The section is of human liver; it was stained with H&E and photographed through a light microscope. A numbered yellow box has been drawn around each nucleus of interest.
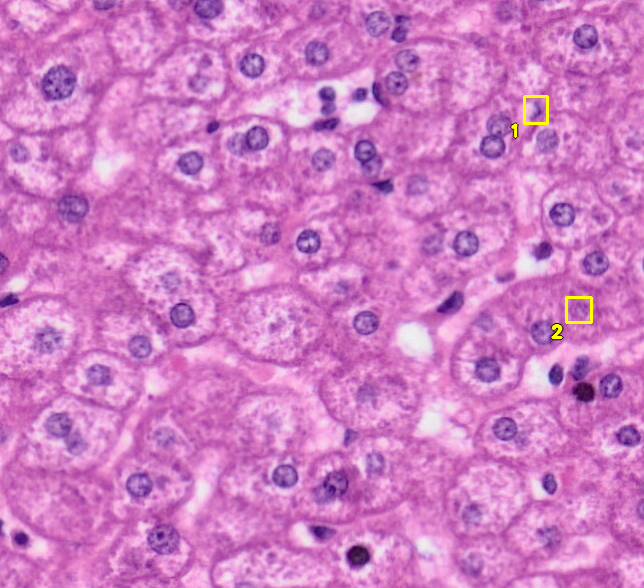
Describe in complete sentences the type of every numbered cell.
Cell 1 is an endothelial cell. Cell 2 is a hepatocyte.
